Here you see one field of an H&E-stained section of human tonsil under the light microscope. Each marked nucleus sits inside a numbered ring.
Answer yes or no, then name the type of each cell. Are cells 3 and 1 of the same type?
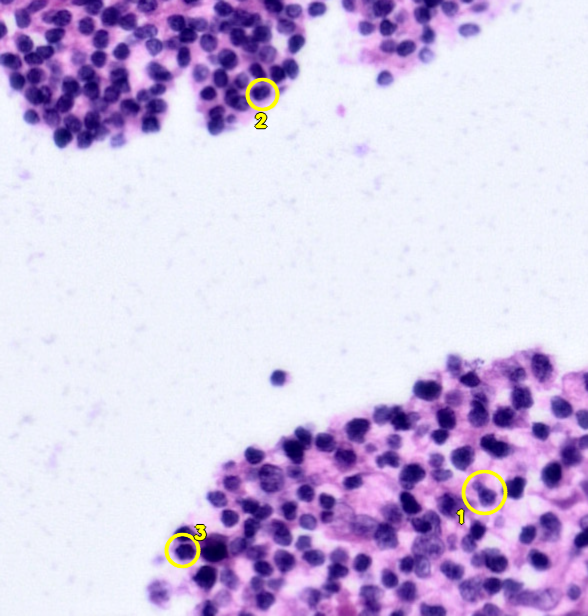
Yes, both are proliferating B cells.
